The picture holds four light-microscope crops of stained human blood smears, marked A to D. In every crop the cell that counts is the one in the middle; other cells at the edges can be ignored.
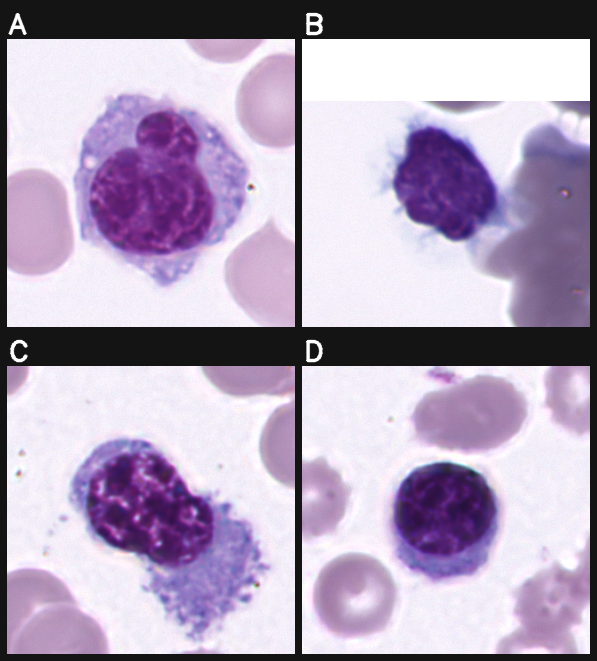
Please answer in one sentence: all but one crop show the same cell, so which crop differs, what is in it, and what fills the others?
A different cell type, a hairy cell, occupies crop B; the other crops show plasma cells.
